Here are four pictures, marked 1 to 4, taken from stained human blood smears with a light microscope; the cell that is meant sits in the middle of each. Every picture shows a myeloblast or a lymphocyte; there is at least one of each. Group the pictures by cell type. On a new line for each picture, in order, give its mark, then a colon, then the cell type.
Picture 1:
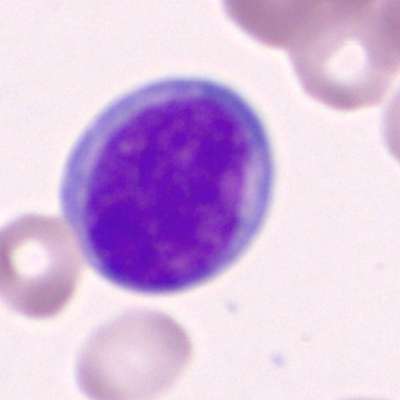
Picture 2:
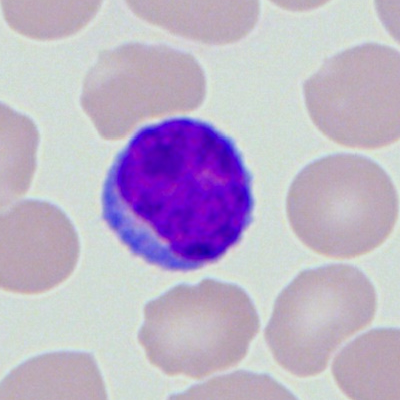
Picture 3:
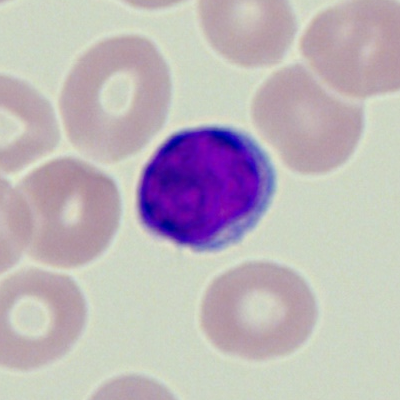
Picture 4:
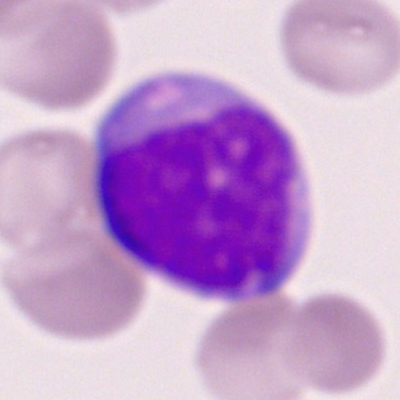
1: myeloblast
2: lymphocyte
3: lymphocyte
4: myeloblast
